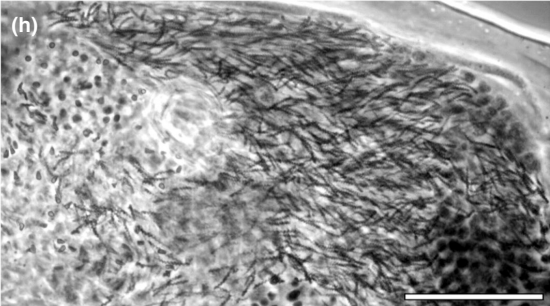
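Sperm fill much of the gonad as numerous dark, slender, slightly curved threads. The threads are loosely aligned and stream in roughly one direction across the field. Toward the left the background holds many small rounded granular profiles. At the lower right lie densely packed dark rounded cells.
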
